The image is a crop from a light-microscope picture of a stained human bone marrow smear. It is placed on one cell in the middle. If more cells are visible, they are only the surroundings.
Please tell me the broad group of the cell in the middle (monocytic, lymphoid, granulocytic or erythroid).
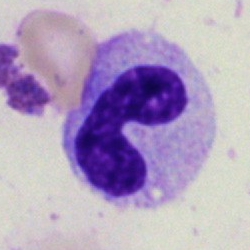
granulocytic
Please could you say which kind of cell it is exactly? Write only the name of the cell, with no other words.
band neutrophil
